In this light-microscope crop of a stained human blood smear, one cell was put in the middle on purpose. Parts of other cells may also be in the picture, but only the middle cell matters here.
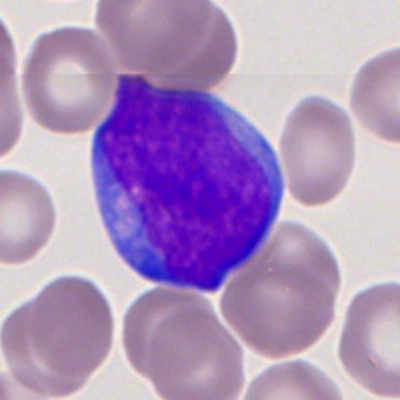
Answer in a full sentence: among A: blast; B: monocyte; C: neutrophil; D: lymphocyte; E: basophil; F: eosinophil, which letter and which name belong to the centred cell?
As the central cell is a blast, option A is correct.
